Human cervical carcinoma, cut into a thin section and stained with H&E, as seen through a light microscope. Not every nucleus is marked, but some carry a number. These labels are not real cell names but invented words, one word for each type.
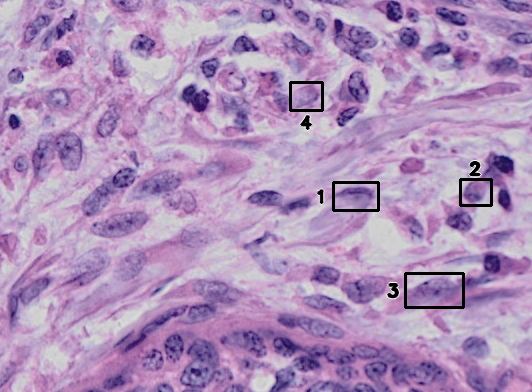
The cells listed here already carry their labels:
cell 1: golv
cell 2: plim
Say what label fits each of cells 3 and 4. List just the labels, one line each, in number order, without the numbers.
golv
golv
